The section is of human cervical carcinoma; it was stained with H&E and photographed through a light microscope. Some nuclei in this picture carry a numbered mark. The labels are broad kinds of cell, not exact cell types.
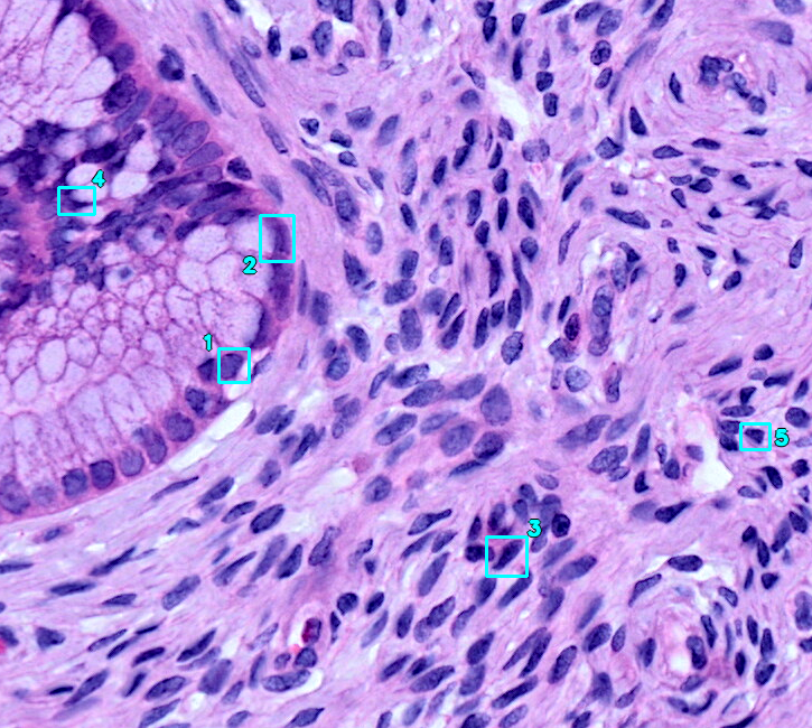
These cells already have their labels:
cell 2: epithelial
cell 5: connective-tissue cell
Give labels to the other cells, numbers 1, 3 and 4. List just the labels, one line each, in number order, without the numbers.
epithelial
connective-tissue cell
epithelial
